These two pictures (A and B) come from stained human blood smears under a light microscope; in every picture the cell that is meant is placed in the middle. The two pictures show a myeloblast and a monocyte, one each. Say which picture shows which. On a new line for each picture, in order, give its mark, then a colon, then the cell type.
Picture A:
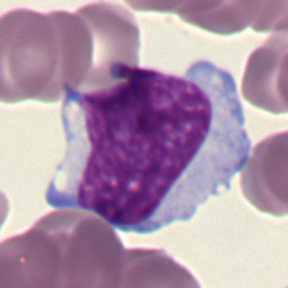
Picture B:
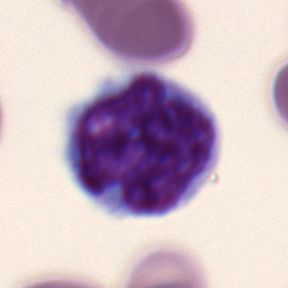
A: myeloblast
B: monocyte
